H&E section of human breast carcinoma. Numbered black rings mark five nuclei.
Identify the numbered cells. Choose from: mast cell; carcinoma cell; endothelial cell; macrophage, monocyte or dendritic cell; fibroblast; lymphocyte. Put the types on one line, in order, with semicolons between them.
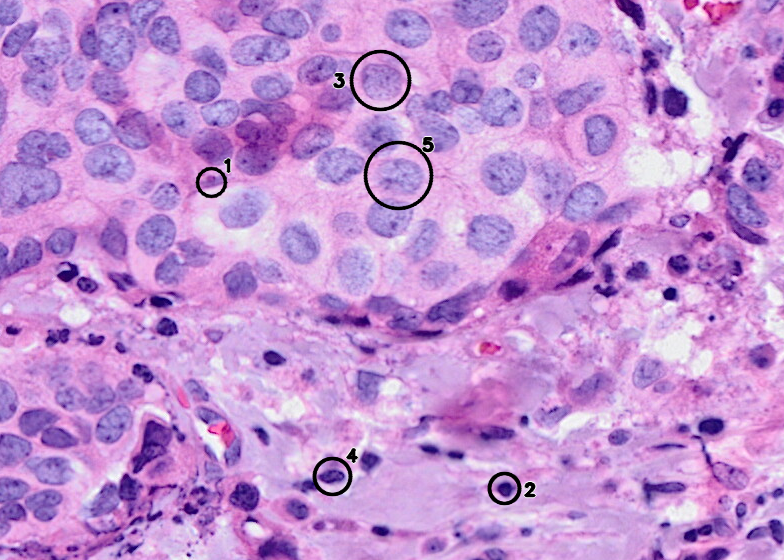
carcinoma cell; lymphocyte; carcinoma cell; lymphocyte; carcinoma cell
